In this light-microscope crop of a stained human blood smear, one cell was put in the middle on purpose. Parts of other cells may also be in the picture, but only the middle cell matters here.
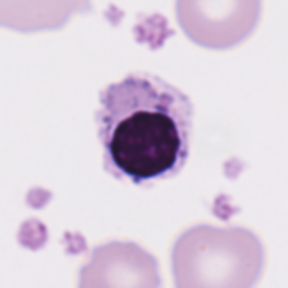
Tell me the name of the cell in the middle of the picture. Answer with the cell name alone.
normoblast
